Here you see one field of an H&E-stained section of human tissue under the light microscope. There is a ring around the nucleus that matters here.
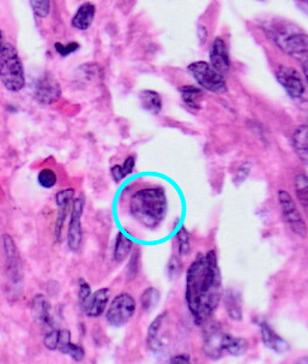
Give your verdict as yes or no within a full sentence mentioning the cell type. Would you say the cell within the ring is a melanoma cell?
Yes, the classification of the cell within the ring as a melanoma cell is accurate.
